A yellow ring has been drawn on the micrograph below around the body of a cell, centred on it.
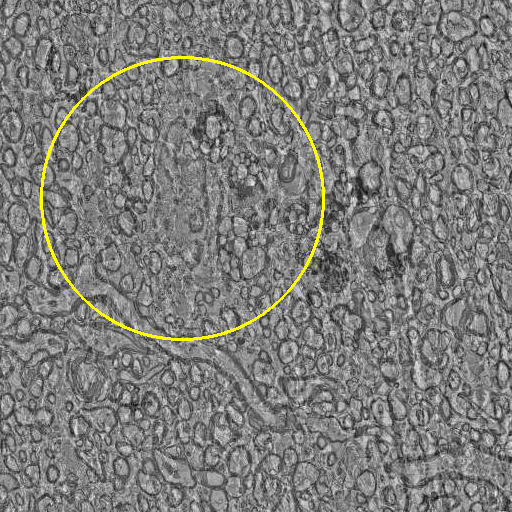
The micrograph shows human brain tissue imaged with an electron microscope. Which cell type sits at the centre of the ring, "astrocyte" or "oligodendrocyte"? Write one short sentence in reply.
The cell sitting at the centre of the ring is an astrocyte.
